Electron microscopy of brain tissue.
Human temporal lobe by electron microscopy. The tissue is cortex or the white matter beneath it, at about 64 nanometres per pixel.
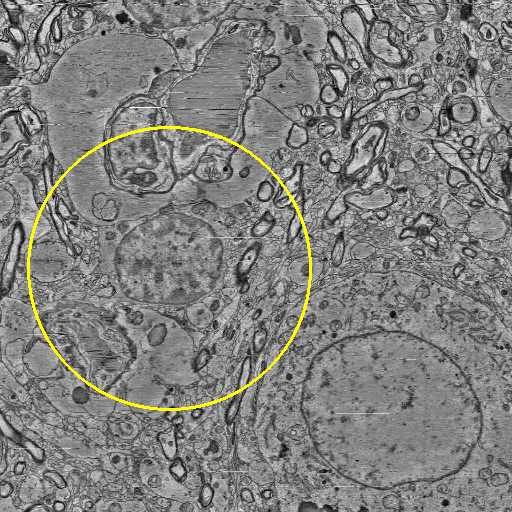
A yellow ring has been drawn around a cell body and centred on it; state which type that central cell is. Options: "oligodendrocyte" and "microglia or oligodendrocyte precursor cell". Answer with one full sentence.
The cell at the middle of the yellow ring is an oligodendrocyte in this picture.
